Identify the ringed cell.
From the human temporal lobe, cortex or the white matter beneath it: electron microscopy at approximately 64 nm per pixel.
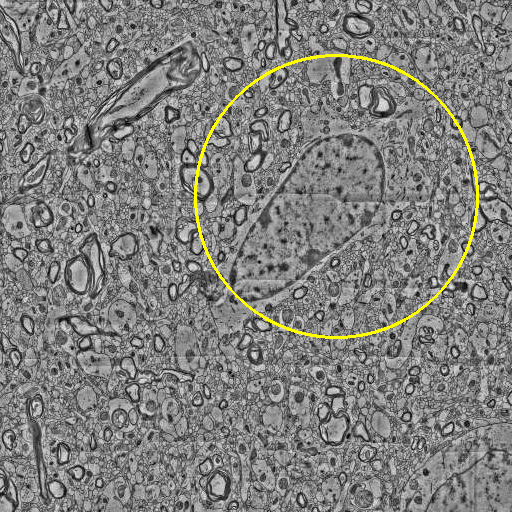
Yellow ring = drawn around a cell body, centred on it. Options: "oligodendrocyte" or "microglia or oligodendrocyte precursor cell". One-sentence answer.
What the ring is centred on is a microglial cell or oligodendrocyte precursor cell.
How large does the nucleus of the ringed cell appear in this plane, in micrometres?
The nucleus is approximately 12 micrometres long but only about 6 wide, clearly longer than it is wide in this plane.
